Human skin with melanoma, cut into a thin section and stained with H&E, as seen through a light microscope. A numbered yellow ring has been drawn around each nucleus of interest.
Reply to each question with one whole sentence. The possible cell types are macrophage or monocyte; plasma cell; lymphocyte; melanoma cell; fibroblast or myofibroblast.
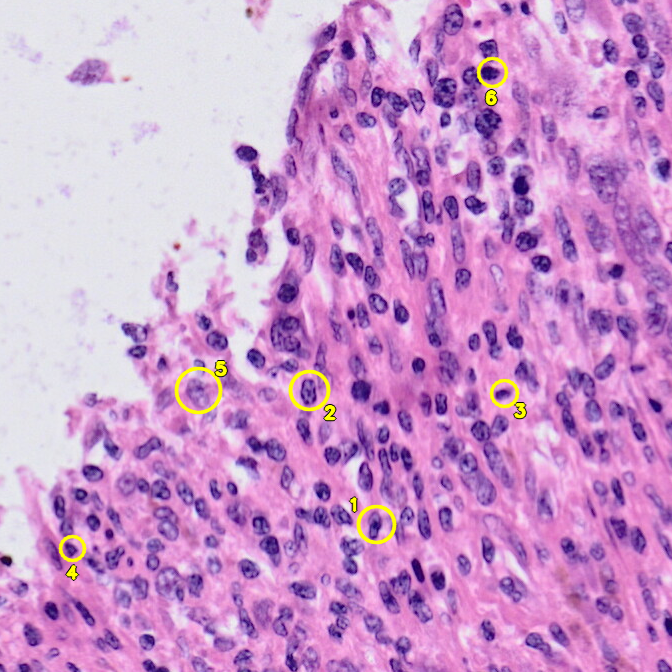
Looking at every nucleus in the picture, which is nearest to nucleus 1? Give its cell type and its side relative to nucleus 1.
The closest nucleus belongs to a fibroblast or myofibroblast and sits to the right of nucleus 1.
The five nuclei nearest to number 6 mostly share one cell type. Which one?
Of the five nuclei nearest to number 6, most belong to plasma cells.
